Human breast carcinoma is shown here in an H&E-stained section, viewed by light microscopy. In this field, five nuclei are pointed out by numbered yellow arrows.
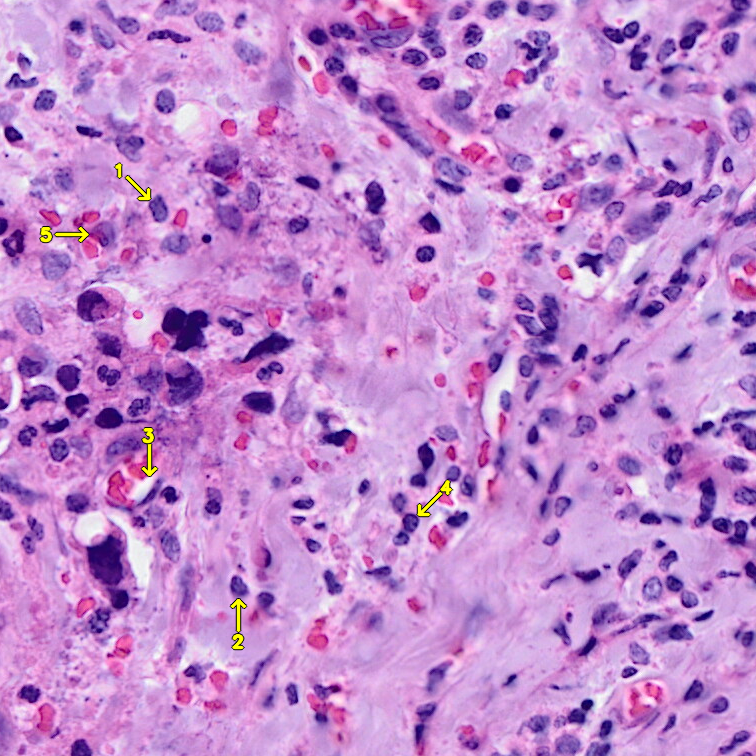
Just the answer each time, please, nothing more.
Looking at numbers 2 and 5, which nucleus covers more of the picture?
5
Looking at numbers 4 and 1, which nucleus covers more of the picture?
1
